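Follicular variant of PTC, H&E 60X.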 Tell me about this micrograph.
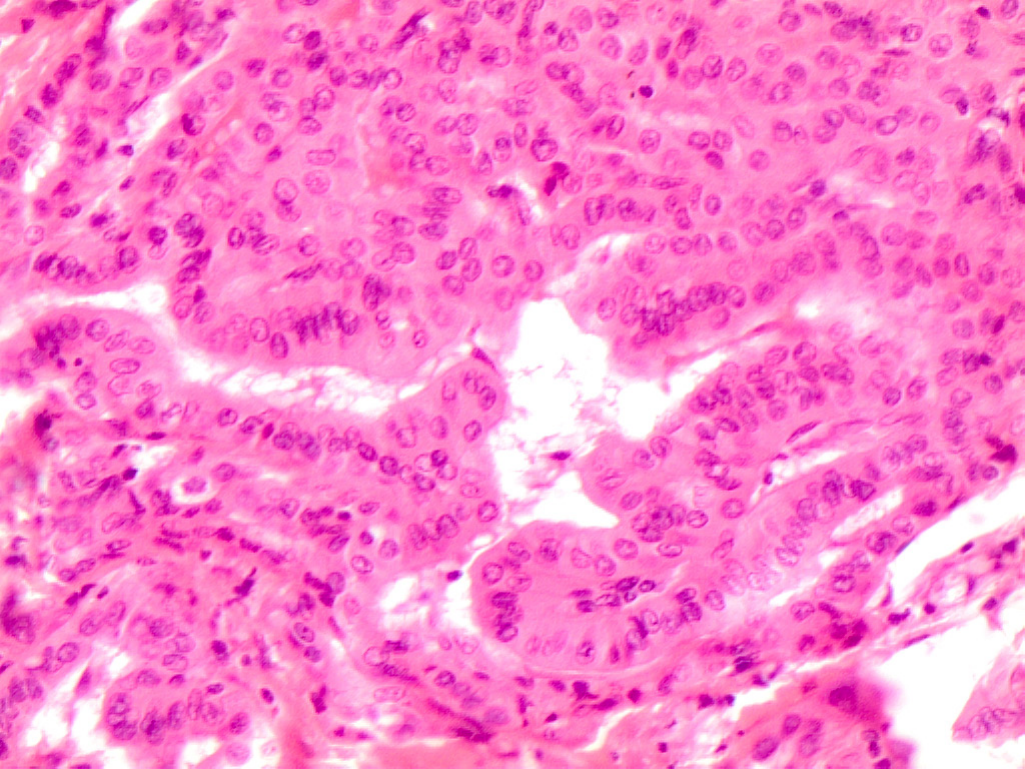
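Cords and sheets of tumour epithelial cells fill the field, separated by narrow clefts and thin strands of stroma. The cells are polygonal and plump, with abundant, homogeneous pink cytoplasm and oval, crowded and overlapping nuclei that have pale chromatin, some with nuclear grooves.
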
